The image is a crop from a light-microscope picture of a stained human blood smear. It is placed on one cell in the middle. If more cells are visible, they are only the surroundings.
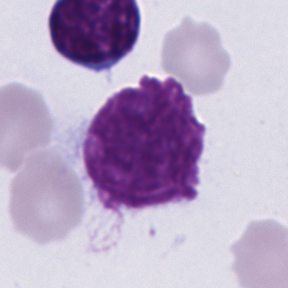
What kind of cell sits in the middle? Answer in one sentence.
The cell around which this crop is centred is a myeloblast.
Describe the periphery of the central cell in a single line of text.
The cell membrane follows an uneven contour, either ragged or bearing projections.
